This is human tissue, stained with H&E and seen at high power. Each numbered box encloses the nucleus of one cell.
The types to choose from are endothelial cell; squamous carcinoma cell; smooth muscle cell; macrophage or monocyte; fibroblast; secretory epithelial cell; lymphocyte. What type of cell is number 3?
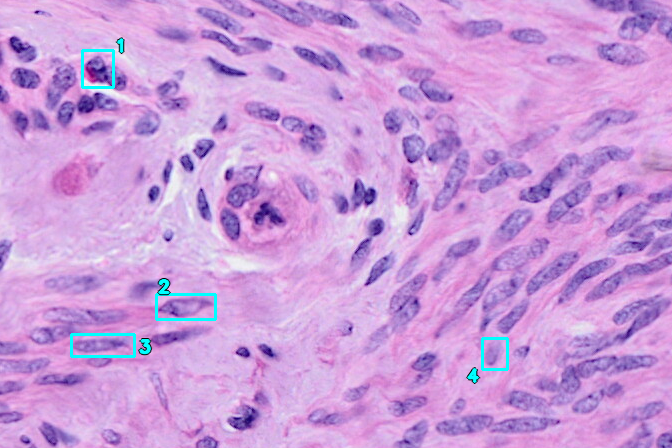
smooth muscle cell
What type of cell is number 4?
smooth muscle cell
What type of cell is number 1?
endothelial cell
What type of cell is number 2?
smooth muscle cell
